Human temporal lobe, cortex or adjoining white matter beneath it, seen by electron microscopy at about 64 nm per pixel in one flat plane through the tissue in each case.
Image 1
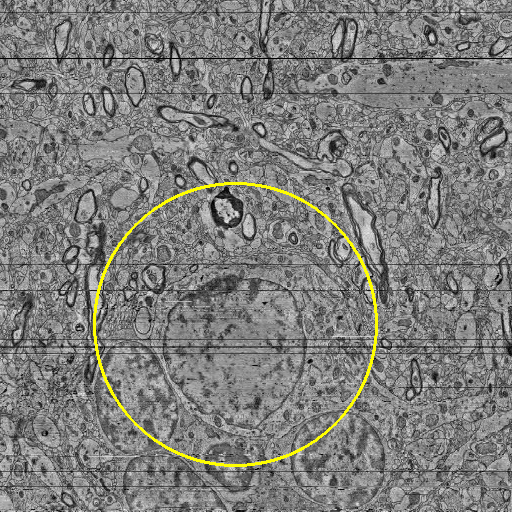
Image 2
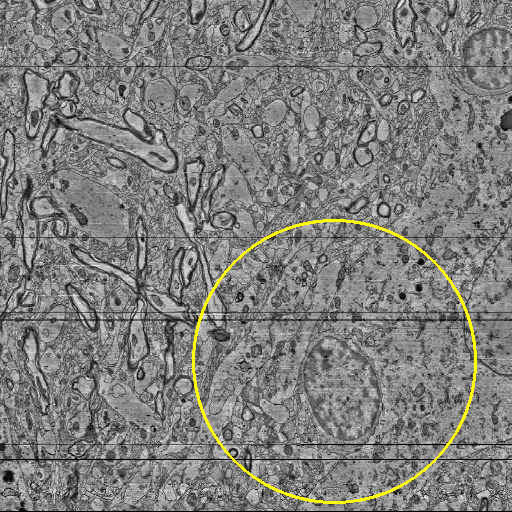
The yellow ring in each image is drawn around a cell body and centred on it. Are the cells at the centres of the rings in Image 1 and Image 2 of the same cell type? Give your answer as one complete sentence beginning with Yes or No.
No, the two cells are of two separate types.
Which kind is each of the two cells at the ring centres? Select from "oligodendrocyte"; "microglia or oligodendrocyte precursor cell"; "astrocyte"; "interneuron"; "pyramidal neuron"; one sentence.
The cell at the centre of the ring is an interneuron in the first picture and an oligodendrocyte in the second.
